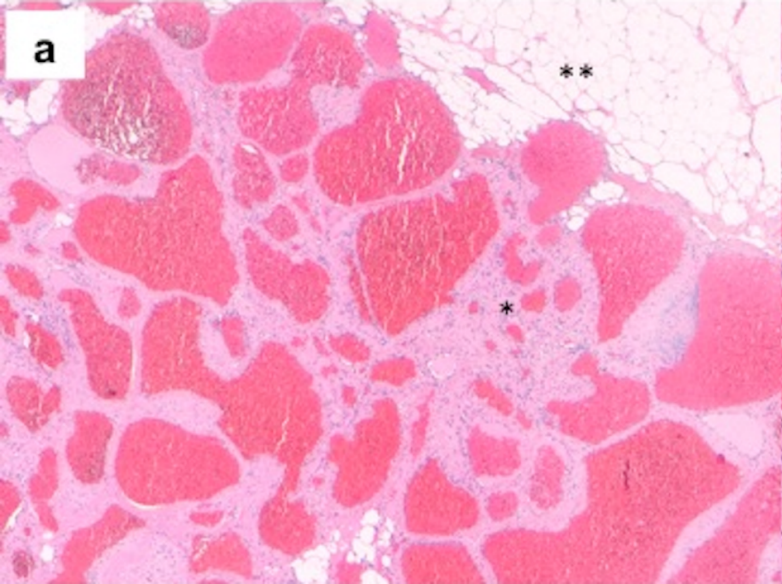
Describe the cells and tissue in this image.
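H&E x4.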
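At low power, numerous dilated cavernous vessels of varied size and shape are filled with red blood cells. They lie within a pale pink fibrous stroma. Towards the periphery at the top, mature adipocytes form a field of large clear cells with thin walls.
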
